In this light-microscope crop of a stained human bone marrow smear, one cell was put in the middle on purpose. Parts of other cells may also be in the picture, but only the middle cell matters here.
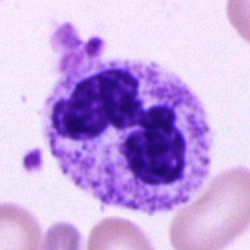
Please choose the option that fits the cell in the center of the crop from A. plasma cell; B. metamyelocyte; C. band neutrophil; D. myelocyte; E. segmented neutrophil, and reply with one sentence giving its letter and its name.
Of the options given, E is correct, the central cell being a segmented neutrophil.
